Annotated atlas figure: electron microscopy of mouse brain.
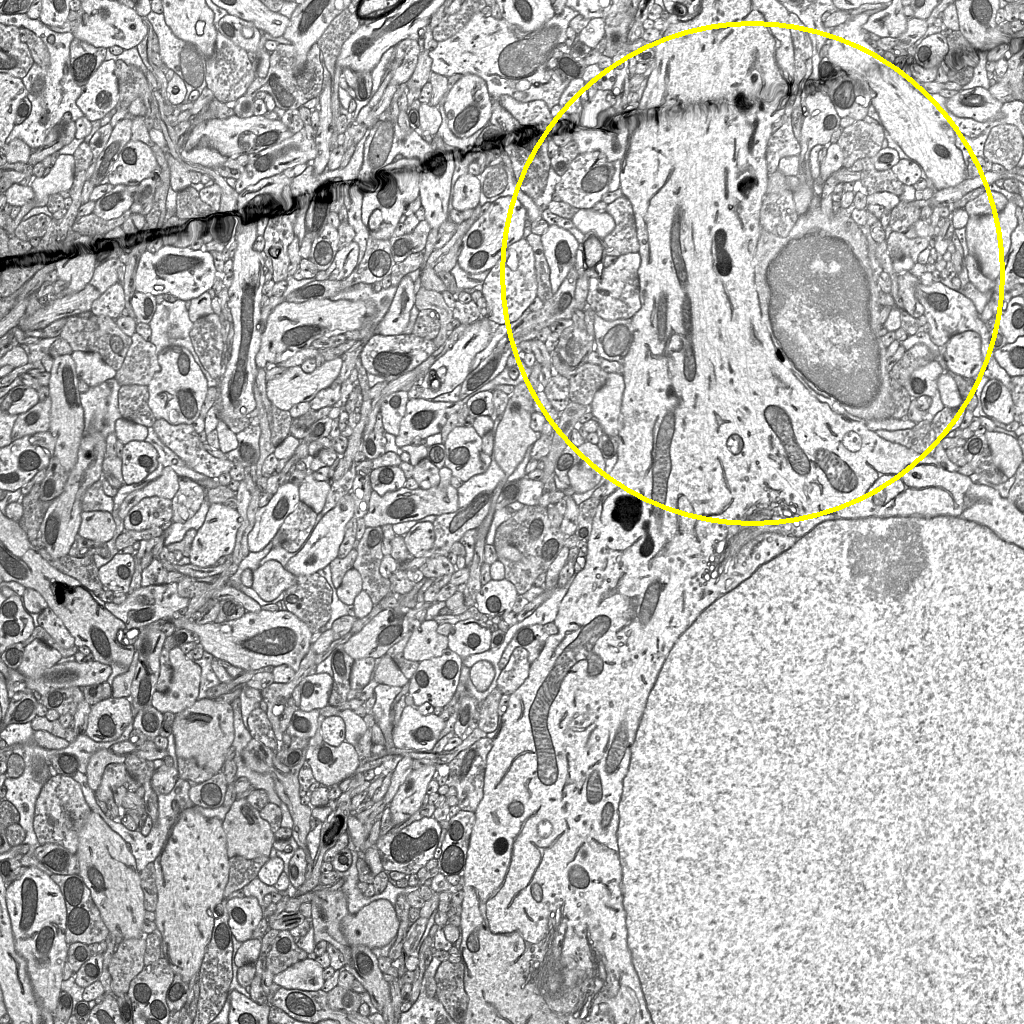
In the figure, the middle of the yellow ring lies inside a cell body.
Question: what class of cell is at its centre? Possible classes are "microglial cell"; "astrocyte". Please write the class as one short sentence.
The yellow ring's centre lies in a microglial cell.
